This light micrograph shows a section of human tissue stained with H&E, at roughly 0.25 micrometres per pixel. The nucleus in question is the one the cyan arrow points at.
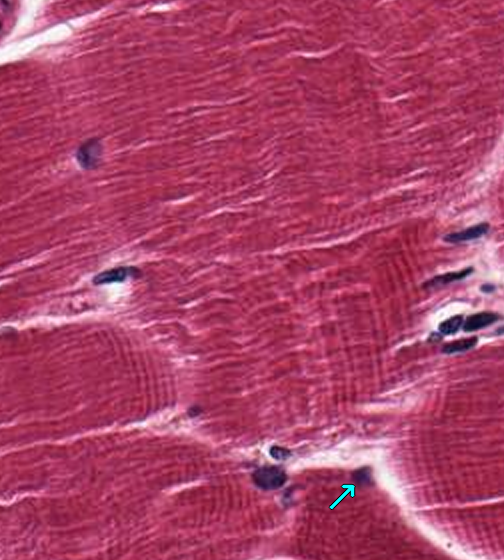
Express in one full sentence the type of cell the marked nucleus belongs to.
The marked nucleus is located in a skeletal muscle fibre.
